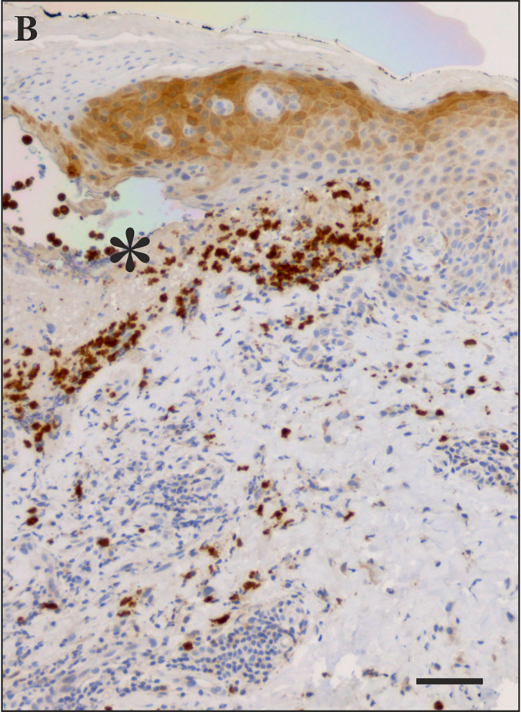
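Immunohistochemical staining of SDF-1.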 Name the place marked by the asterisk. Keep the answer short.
blister fluid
